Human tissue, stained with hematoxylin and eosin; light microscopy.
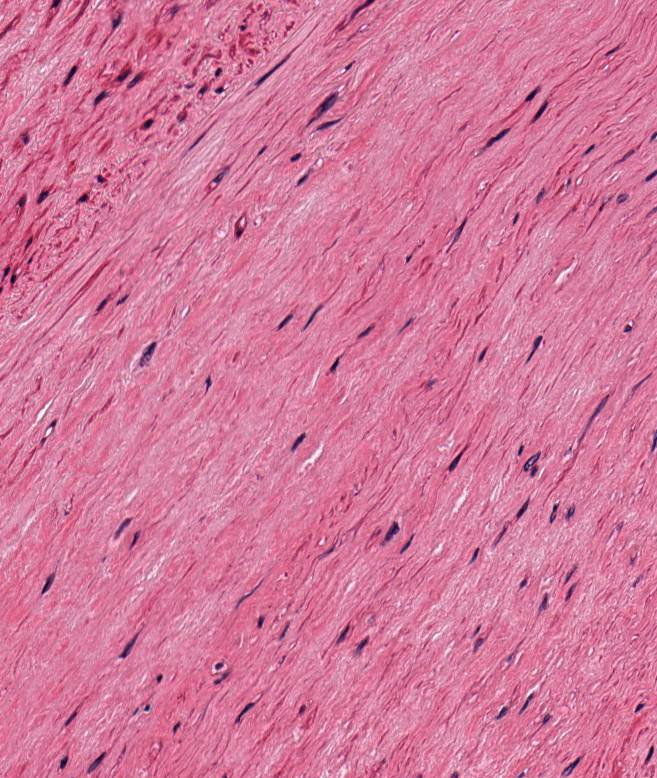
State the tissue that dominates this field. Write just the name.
tunica media of an artery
